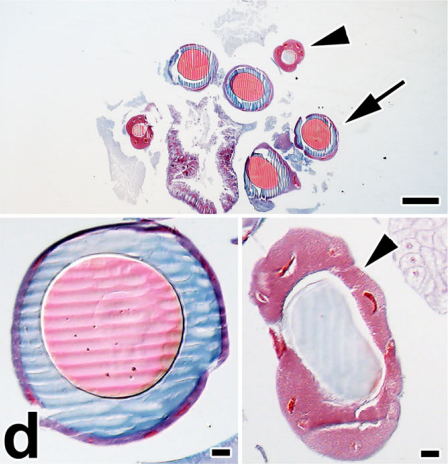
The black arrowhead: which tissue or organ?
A: Posterior silk gland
